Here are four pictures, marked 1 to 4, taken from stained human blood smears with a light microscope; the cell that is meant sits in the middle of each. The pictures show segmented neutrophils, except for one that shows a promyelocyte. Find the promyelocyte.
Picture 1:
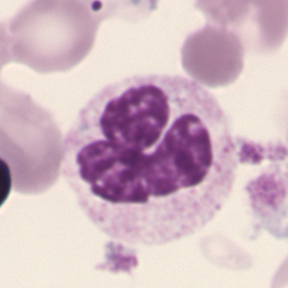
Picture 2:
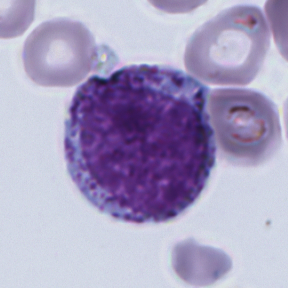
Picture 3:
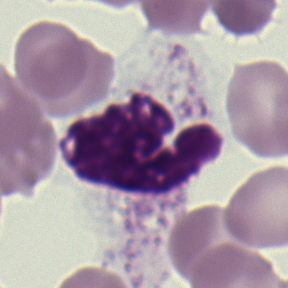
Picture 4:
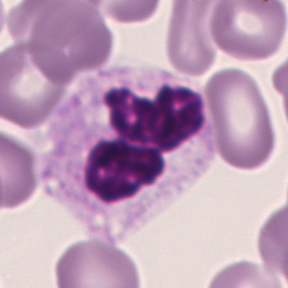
2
